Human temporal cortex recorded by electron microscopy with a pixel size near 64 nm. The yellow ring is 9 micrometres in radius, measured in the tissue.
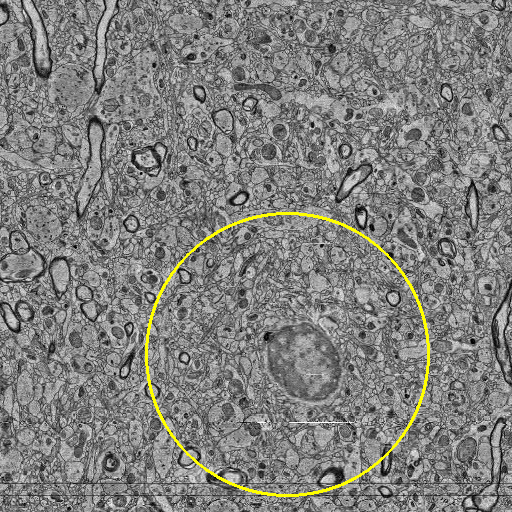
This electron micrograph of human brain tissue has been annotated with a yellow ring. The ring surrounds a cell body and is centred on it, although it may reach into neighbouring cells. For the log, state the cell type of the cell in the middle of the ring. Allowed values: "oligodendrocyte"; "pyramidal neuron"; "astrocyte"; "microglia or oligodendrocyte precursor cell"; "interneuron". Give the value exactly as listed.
oligodendrocyte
